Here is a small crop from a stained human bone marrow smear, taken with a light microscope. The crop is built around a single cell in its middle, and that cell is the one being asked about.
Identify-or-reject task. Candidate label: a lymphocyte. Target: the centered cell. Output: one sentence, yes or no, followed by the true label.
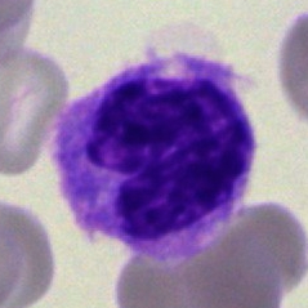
No, the cell found centrally in the crop is a monocyte, not a lymphocyte.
